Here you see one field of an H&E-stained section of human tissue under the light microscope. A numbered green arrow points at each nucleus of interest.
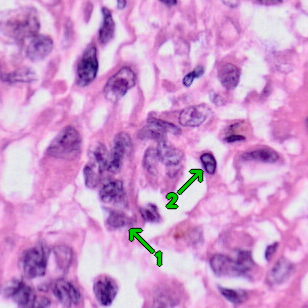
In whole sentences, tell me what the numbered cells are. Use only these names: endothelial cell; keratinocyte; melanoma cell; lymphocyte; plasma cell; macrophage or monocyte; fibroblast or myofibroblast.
Cell 1 is a melanoma cell and cell 2 is a macrophage or monocyte.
